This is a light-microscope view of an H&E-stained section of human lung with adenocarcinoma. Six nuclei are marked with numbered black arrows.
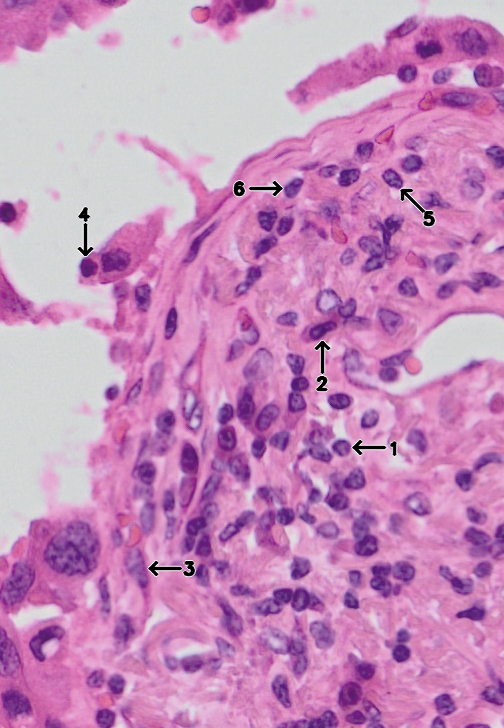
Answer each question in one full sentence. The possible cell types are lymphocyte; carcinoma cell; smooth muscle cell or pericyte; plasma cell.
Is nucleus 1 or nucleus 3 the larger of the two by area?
Of the two, number 3 is bigger and takes up about 2 times the area of number 1.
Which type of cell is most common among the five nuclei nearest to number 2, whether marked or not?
Lymphocytes account for more than half of the five nuclei nearest to number 2.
